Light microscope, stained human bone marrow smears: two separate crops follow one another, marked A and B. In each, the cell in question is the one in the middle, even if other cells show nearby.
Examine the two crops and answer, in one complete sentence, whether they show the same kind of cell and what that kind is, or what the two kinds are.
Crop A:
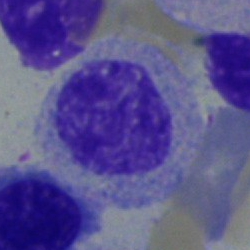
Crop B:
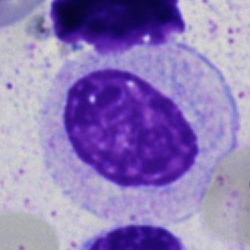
Yes, both crops show myelocytes as the central cells.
